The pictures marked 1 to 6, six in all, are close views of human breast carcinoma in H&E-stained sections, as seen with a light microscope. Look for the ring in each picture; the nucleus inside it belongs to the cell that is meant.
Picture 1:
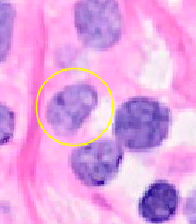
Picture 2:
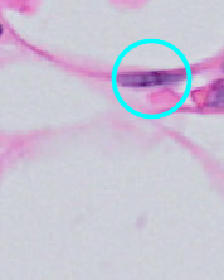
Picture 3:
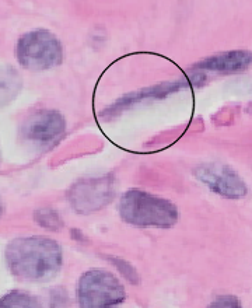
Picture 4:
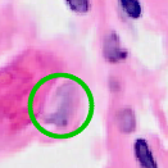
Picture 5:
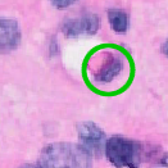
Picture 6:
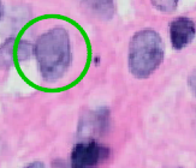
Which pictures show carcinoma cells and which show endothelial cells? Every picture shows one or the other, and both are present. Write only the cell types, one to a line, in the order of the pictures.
carcinoma cell
endothelial cell
endothelial cell
endothelial cell
endothelial cell
carcinoma cell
